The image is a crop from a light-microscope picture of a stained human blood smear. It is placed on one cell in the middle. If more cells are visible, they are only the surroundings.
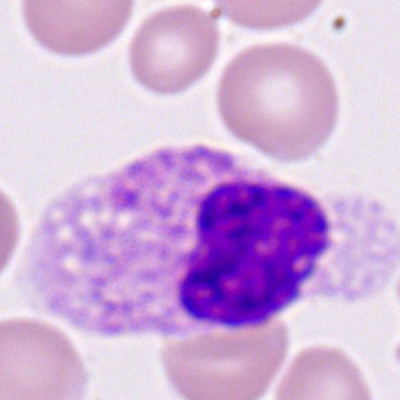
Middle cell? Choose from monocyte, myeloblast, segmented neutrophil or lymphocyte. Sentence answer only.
The cell that lies at the centre of the crop is a segmented neutrophil.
